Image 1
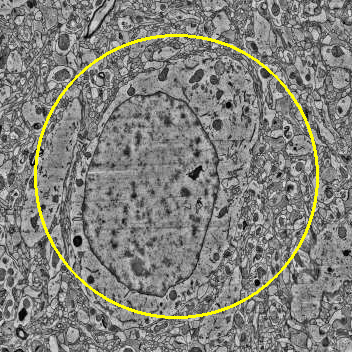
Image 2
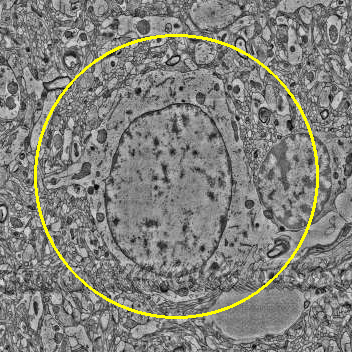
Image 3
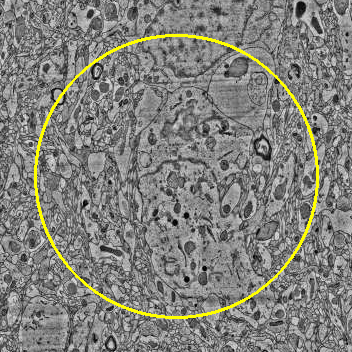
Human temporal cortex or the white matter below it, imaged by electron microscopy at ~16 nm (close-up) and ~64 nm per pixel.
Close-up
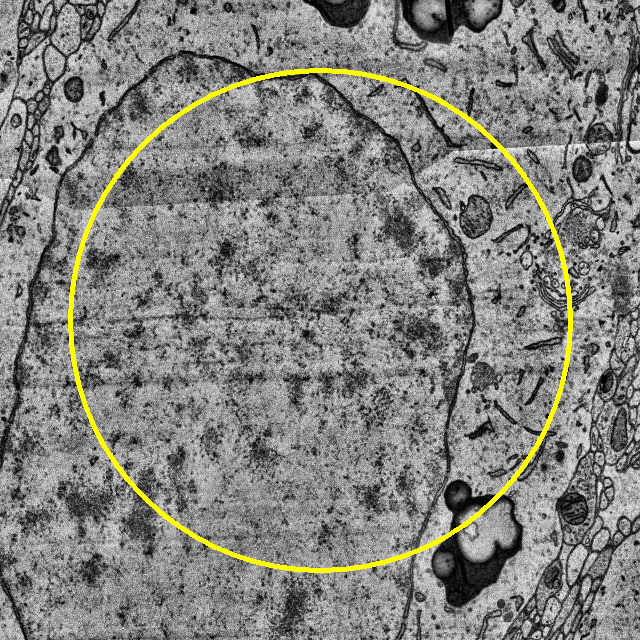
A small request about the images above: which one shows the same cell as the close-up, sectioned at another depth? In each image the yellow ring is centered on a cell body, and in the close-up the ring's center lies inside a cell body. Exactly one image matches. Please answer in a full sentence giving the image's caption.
The cell in the zoomed view is the one circled in Image 1.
